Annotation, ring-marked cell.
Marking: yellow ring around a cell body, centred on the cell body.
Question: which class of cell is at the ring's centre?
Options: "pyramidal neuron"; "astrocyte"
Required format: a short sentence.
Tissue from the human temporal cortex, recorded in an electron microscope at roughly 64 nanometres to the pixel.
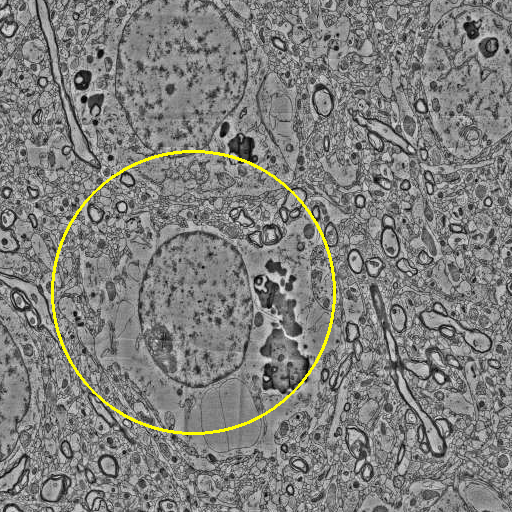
At the ring's centre is an astrocyte.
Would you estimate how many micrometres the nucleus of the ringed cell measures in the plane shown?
About 10 by 8 micrometers, in this plane.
